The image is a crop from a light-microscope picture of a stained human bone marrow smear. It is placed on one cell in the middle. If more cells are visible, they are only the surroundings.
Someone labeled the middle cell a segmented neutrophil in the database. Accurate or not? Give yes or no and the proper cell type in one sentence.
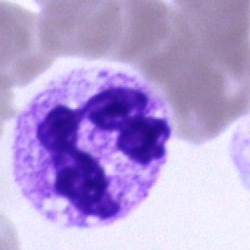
Yes, in the centre of this field sits a segmented neutrophil.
